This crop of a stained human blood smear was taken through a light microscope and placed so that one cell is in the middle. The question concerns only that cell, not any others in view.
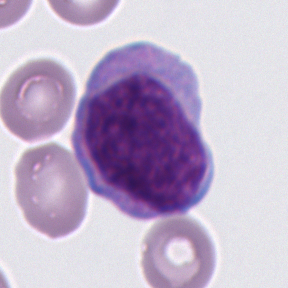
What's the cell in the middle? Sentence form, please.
The cell nearest the centre of this crop is an atypical promyelocyte.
